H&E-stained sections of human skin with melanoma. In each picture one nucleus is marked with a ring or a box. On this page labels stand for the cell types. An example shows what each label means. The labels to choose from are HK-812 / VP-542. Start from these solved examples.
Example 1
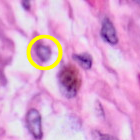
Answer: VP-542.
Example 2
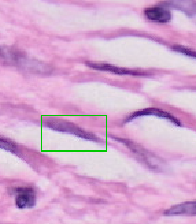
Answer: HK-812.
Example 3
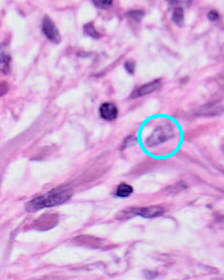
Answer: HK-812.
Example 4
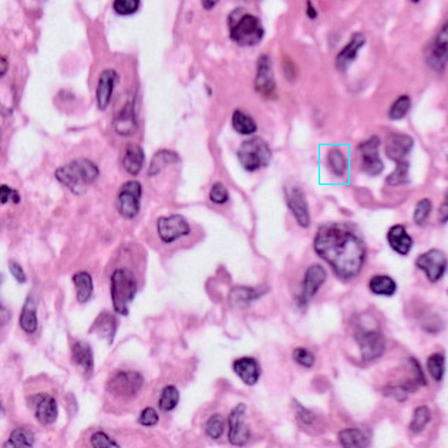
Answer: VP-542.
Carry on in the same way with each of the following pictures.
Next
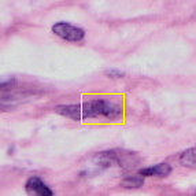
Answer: VP-542.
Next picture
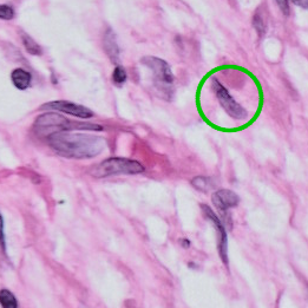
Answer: VP-542.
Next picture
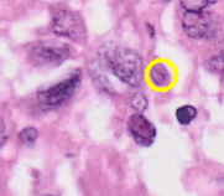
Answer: VP-542.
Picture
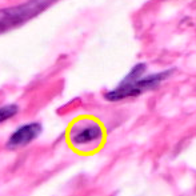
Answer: VP-542.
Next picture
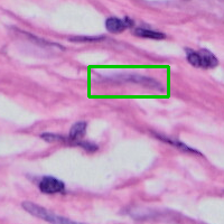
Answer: HK-812.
